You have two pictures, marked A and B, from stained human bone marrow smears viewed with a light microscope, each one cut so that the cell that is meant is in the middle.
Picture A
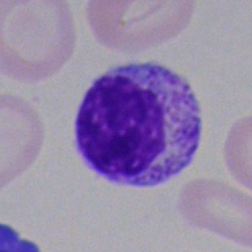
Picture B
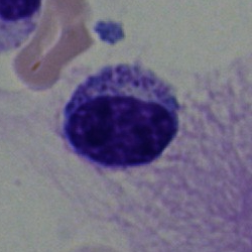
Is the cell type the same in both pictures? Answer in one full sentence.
Yes, both cells are myelocytes.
